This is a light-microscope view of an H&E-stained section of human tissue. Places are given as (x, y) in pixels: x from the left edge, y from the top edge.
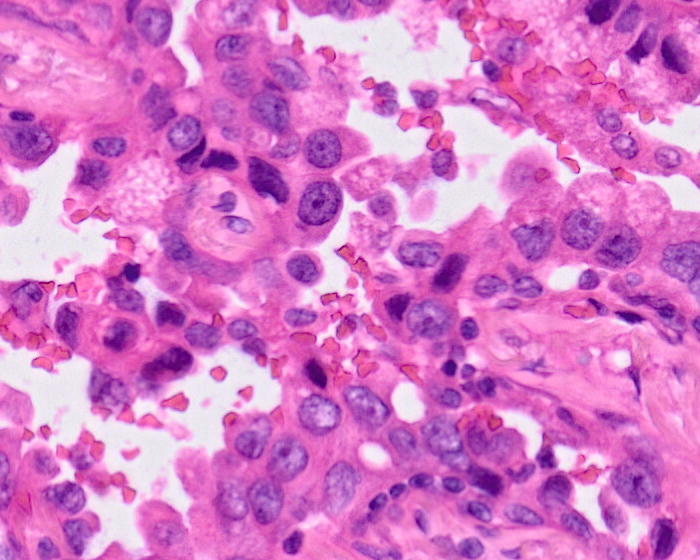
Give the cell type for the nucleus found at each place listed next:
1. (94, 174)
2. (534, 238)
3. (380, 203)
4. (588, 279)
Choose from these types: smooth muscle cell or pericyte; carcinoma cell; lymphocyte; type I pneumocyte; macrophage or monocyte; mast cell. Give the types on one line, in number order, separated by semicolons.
carcinoma cell; carcinoma cell; carcinoma cell; lymphocyte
